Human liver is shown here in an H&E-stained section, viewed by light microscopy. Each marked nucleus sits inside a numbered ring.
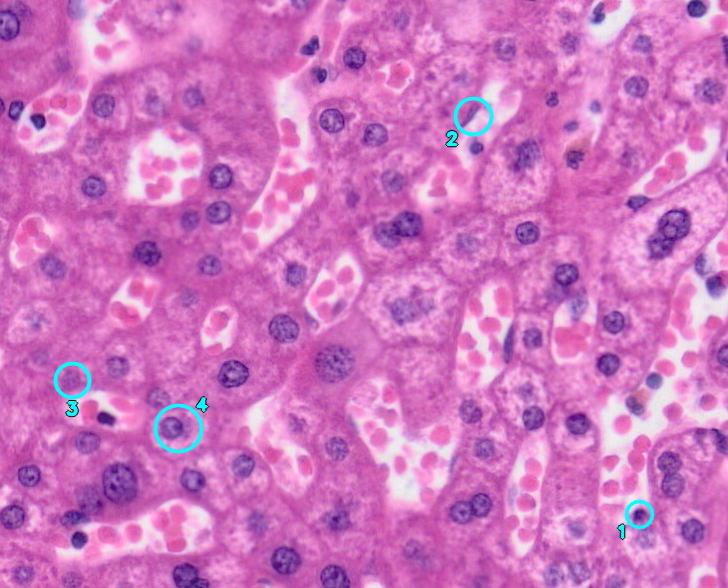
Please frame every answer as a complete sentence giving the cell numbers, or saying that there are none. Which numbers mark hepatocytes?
The cells with the number labels 3 and 4 are hepatocytes.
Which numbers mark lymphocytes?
The sole numbered cell that is a lymphocyte is cell 1.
